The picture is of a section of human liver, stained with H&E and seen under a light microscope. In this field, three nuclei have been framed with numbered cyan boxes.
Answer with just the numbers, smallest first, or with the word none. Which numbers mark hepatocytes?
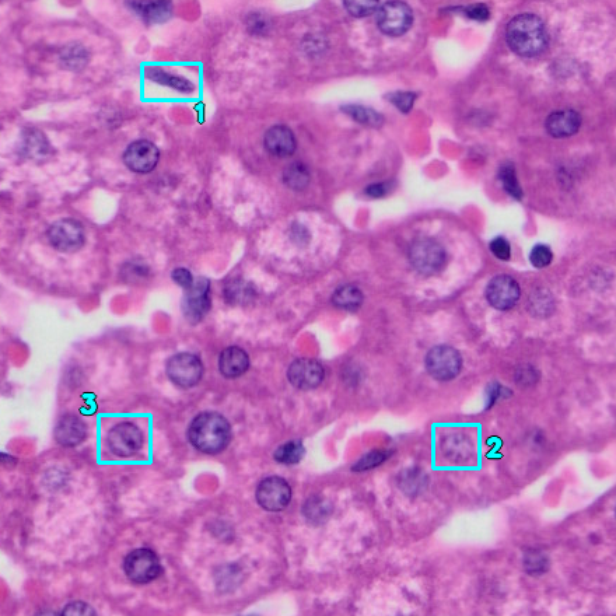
2, 3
